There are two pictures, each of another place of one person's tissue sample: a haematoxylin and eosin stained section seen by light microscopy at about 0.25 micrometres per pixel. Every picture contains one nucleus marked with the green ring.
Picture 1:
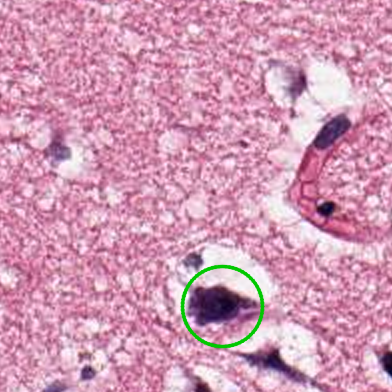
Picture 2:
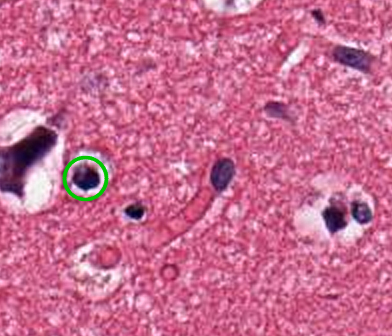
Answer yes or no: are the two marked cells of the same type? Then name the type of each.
No, the first is a neuron and the second an oligodendrocyte.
